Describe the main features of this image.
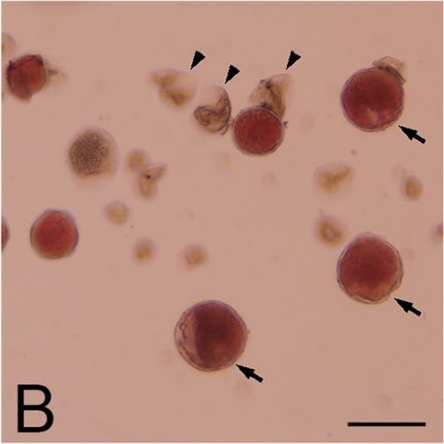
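These are pollen grains of mixed size and condition: several large, round grains with a thick wall are filled with deep red-stained contents, some clearly bigger than the others. Scattered among them are small, collapsed, folded grains that are pale yellowish and empty of stained contents.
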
